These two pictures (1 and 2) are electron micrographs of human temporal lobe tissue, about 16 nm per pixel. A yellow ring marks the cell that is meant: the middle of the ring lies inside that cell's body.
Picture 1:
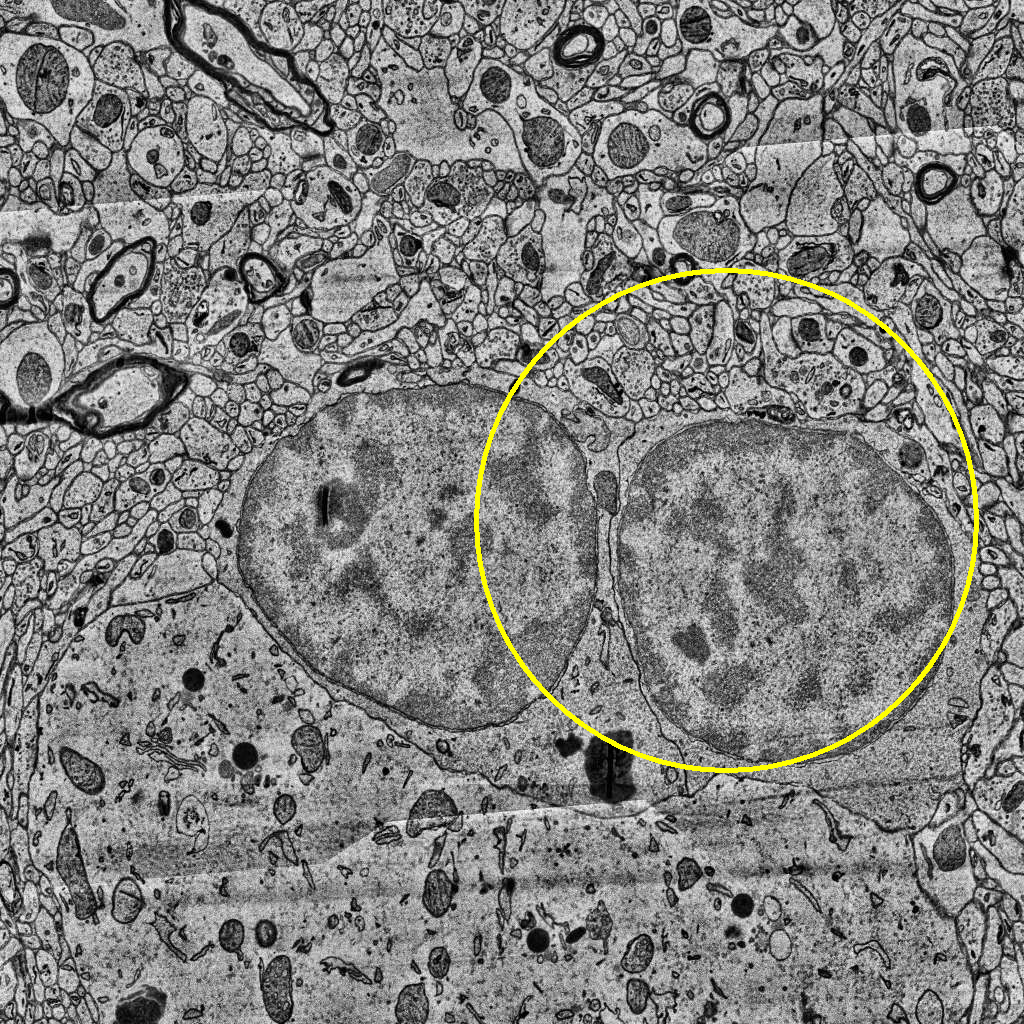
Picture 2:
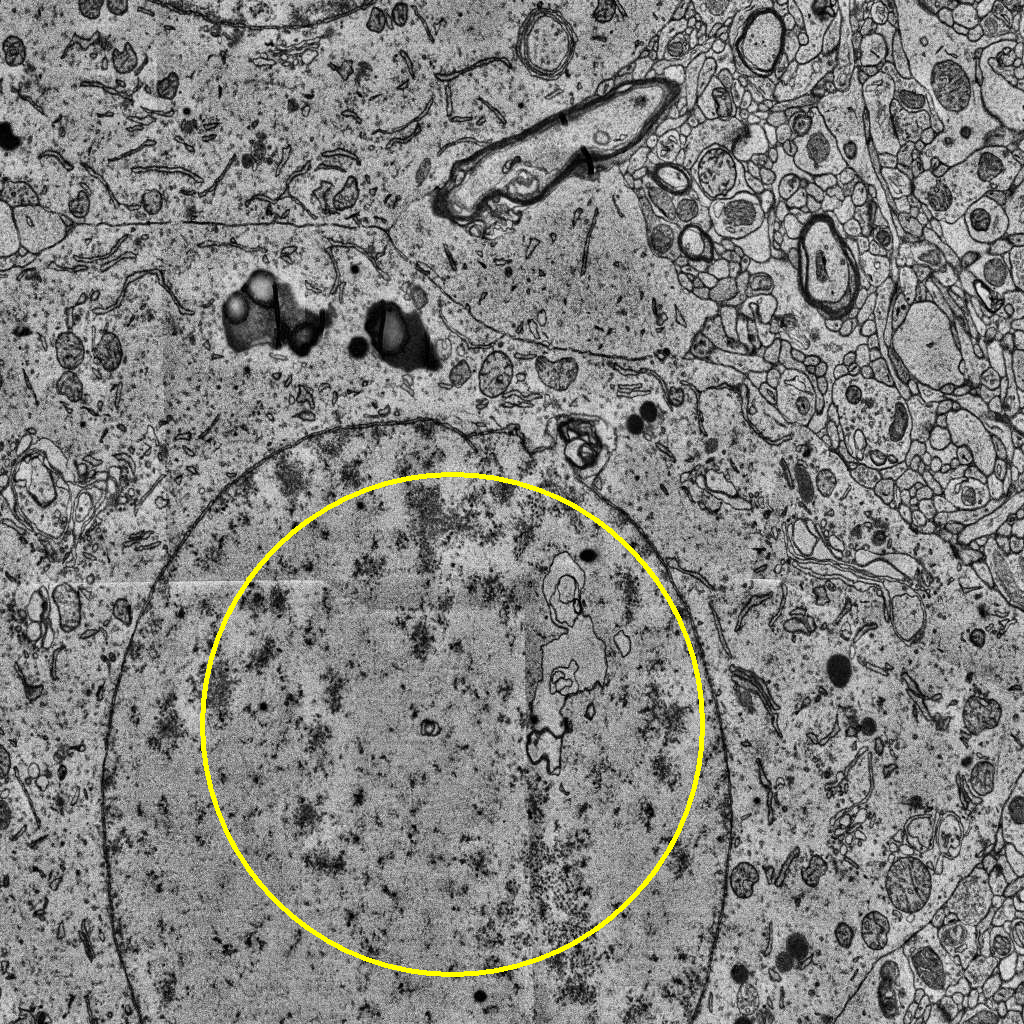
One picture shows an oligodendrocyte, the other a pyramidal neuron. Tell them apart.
Picture 2 shows a pyramidal neuron, while picture 1 shows an oligodendrocyte.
